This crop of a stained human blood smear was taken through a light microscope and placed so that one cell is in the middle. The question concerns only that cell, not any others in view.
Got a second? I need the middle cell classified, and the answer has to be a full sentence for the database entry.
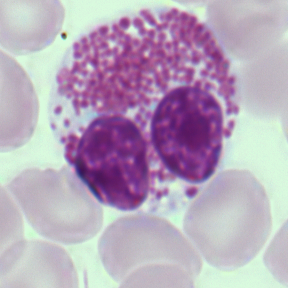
The middle position in this crop is taken by an eosinophil.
